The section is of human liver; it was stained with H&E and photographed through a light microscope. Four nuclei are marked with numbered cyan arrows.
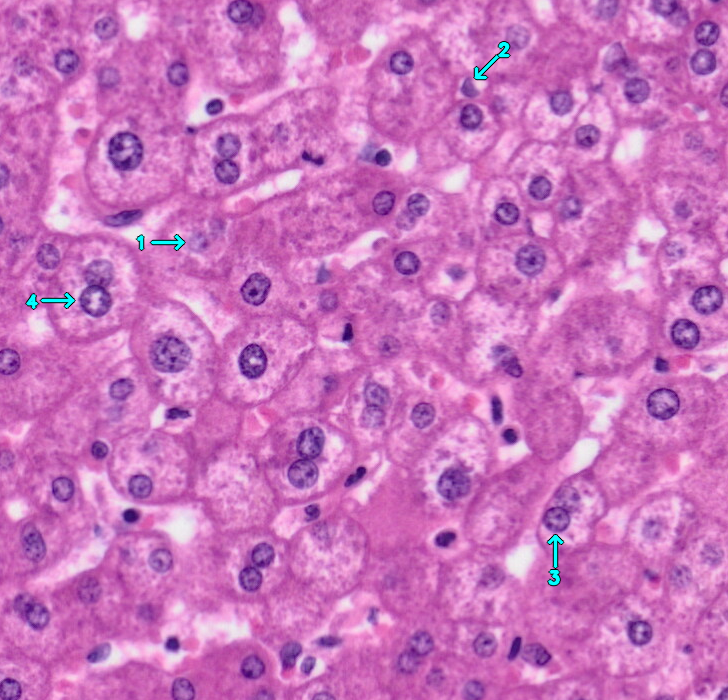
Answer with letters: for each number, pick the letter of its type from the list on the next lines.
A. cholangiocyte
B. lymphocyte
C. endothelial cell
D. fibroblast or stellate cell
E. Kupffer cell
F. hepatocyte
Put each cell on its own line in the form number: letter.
1: F
2: C
3: F
4: F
